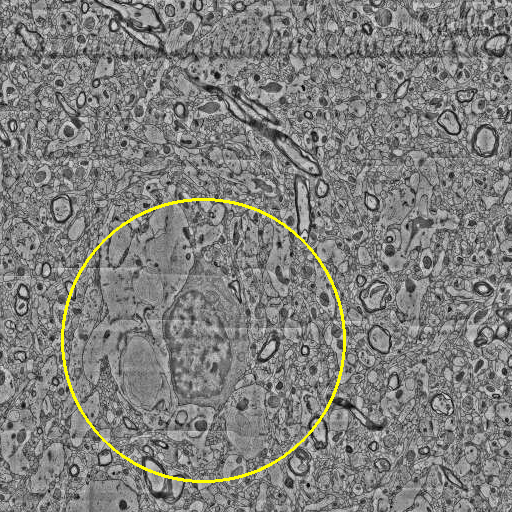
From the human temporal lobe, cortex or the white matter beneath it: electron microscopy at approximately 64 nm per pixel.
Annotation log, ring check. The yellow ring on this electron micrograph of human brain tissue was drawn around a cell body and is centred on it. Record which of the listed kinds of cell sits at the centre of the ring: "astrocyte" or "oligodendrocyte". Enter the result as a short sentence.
The cell at the centre of the ring is an oligodendrocyte.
